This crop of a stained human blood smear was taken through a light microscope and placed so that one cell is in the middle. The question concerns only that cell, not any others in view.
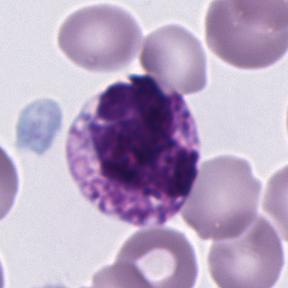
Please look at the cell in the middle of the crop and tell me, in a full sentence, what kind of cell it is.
By classification, the middle cell of this crop is a basophil.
